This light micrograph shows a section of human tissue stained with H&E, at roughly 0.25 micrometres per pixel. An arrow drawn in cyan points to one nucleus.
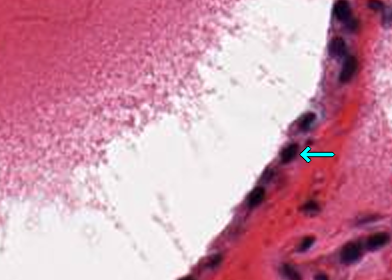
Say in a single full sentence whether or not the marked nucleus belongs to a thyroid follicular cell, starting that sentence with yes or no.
Yes, the marked nucleus is in a thyroid follicular cell.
